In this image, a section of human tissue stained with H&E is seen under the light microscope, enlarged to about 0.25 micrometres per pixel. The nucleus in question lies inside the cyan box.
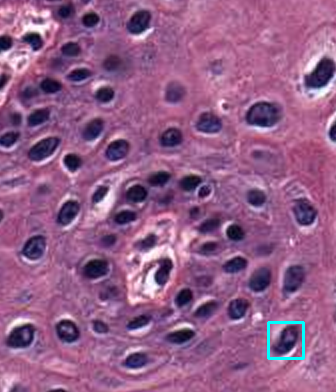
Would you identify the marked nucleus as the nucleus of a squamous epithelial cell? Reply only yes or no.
yes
